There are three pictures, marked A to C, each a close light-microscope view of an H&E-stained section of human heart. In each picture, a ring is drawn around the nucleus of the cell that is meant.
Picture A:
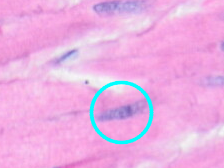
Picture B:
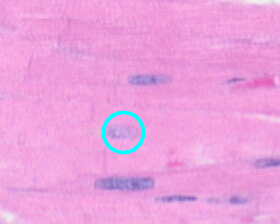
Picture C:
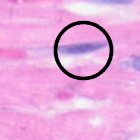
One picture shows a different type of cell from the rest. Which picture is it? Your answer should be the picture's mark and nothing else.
C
